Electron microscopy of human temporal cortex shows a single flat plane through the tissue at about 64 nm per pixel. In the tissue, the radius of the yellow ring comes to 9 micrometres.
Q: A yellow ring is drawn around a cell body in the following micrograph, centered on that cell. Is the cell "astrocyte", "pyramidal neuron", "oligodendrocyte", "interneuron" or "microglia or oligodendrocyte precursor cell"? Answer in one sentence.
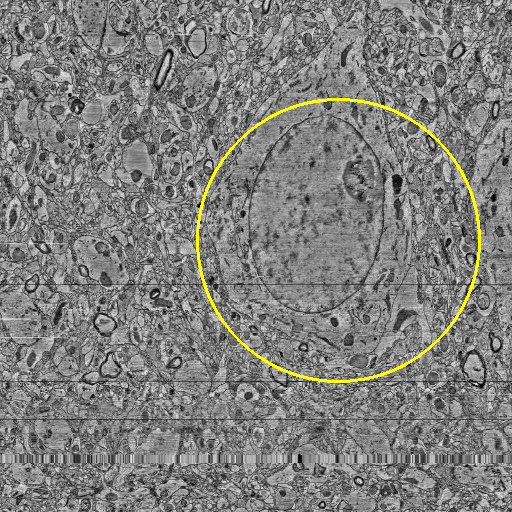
The cell in the center of the ring is a pyramidal neuron.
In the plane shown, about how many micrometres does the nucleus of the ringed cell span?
About 13 by 9 micrometers for the nucleus, in this plane.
